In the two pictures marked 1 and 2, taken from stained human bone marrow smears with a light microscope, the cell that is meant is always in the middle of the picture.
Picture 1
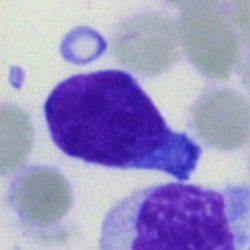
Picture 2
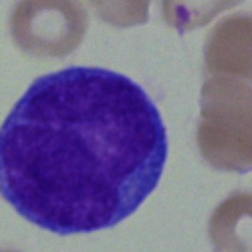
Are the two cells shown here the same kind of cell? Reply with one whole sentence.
Yes, they are the same type: both are blasts.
